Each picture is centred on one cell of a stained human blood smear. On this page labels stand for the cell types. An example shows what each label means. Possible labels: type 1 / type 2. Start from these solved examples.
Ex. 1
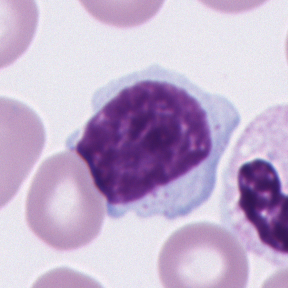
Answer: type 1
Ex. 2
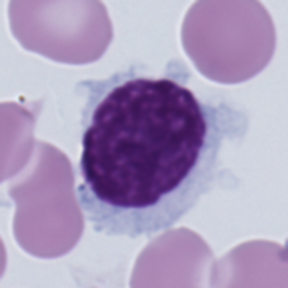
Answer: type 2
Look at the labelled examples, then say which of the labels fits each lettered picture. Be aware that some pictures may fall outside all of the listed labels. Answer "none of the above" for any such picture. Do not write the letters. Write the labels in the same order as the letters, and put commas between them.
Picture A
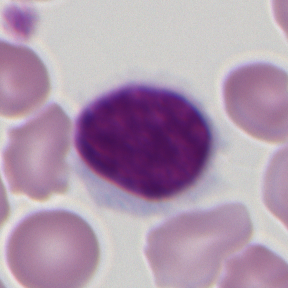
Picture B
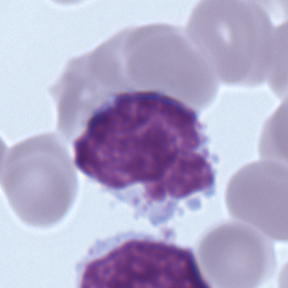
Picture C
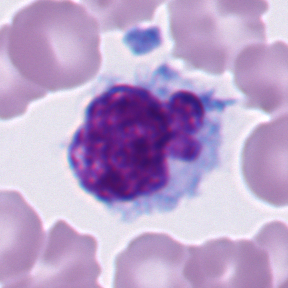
type 2, type 1, type 2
